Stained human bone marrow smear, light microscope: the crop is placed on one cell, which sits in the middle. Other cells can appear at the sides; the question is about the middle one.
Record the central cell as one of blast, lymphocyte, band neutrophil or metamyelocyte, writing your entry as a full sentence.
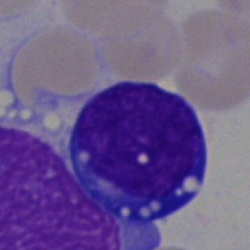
The single cell at the center of the crop is a blast.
